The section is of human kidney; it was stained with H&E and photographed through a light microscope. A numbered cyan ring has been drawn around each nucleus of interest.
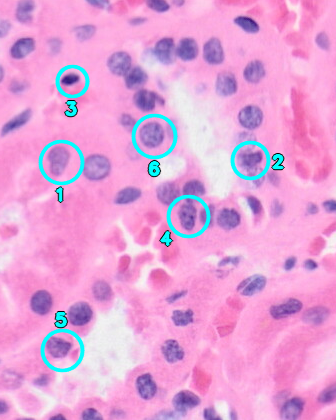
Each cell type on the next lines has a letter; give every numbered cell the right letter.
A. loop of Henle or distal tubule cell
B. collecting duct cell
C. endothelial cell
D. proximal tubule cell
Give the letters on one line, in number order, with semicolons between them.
D; B; C; B; A; B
